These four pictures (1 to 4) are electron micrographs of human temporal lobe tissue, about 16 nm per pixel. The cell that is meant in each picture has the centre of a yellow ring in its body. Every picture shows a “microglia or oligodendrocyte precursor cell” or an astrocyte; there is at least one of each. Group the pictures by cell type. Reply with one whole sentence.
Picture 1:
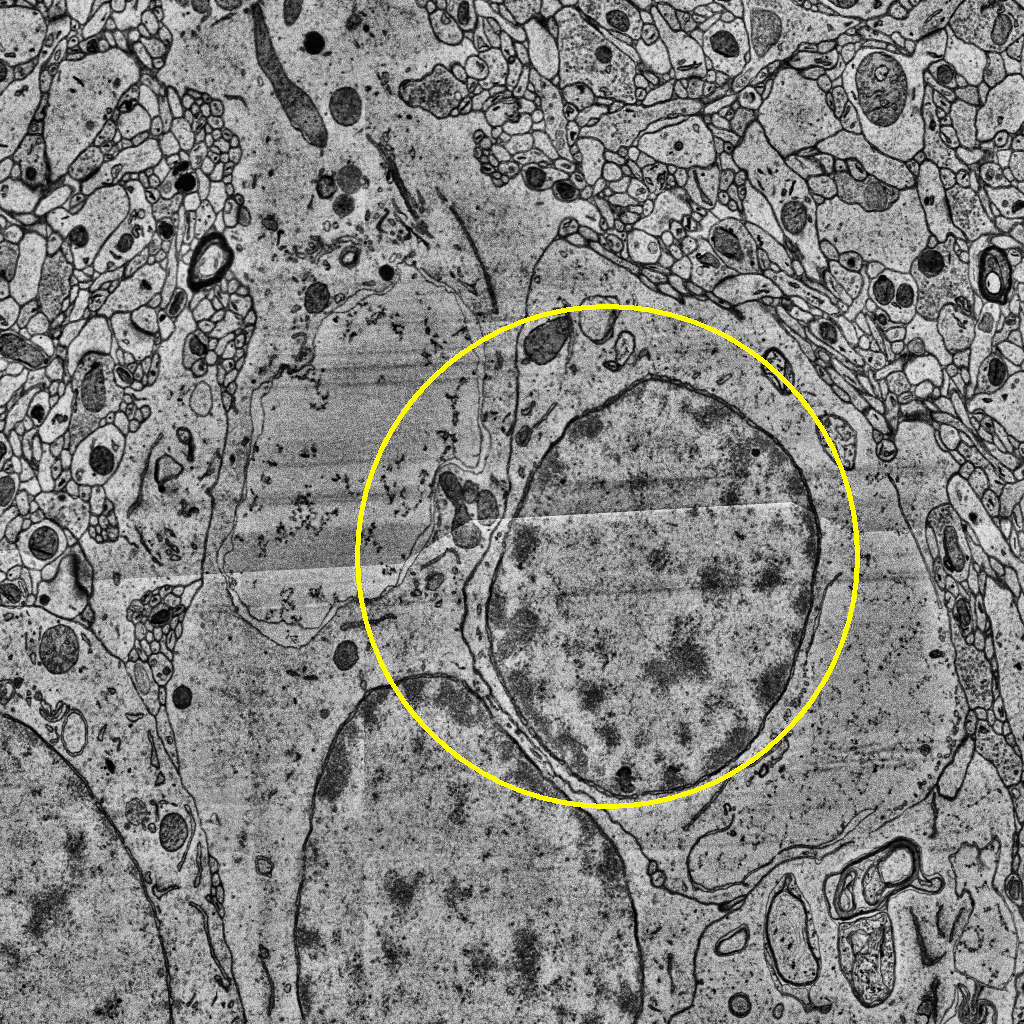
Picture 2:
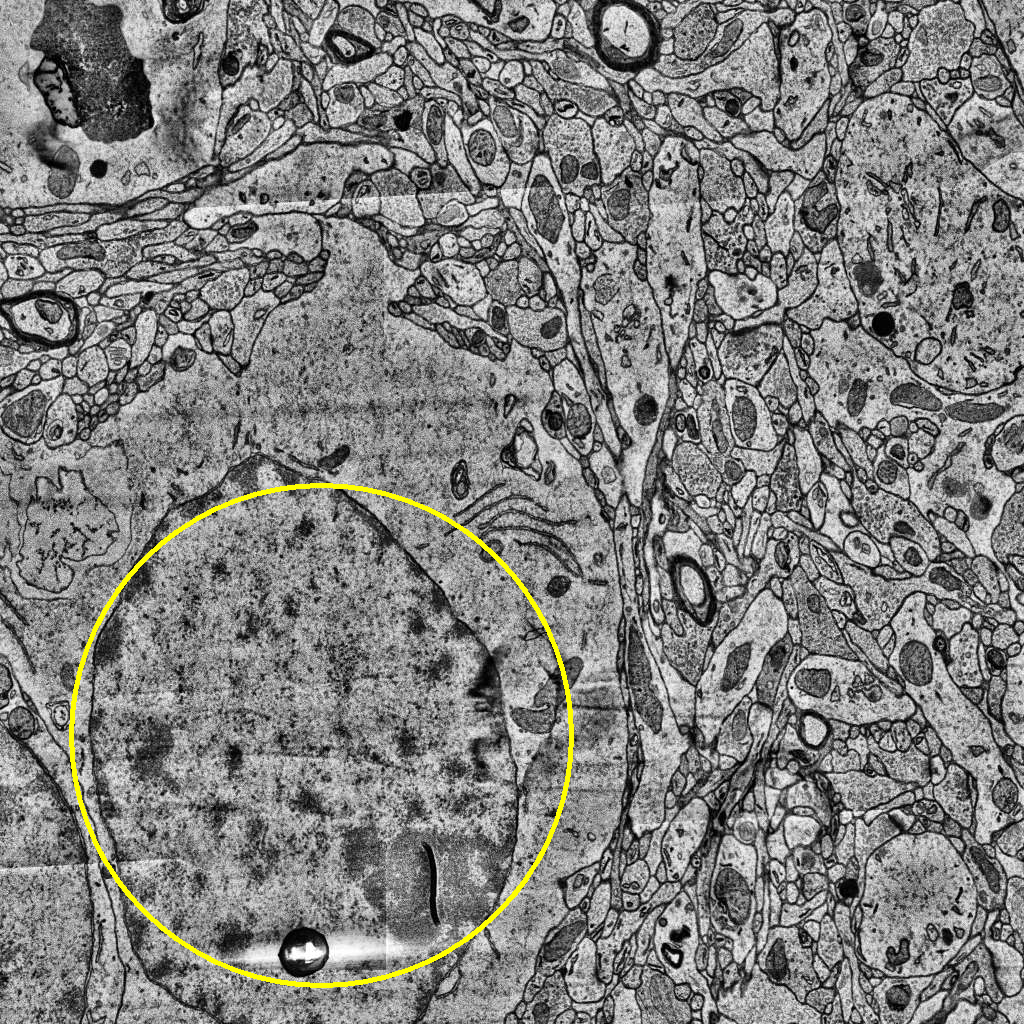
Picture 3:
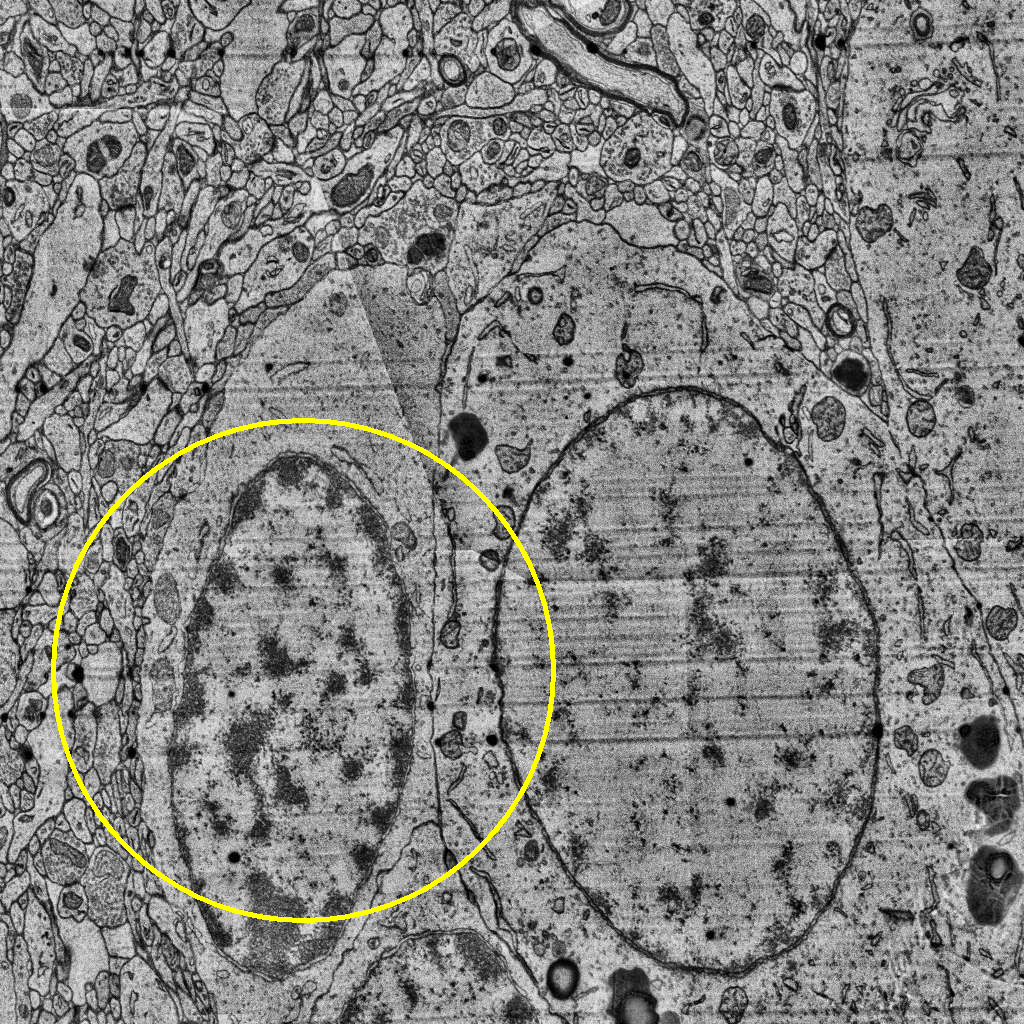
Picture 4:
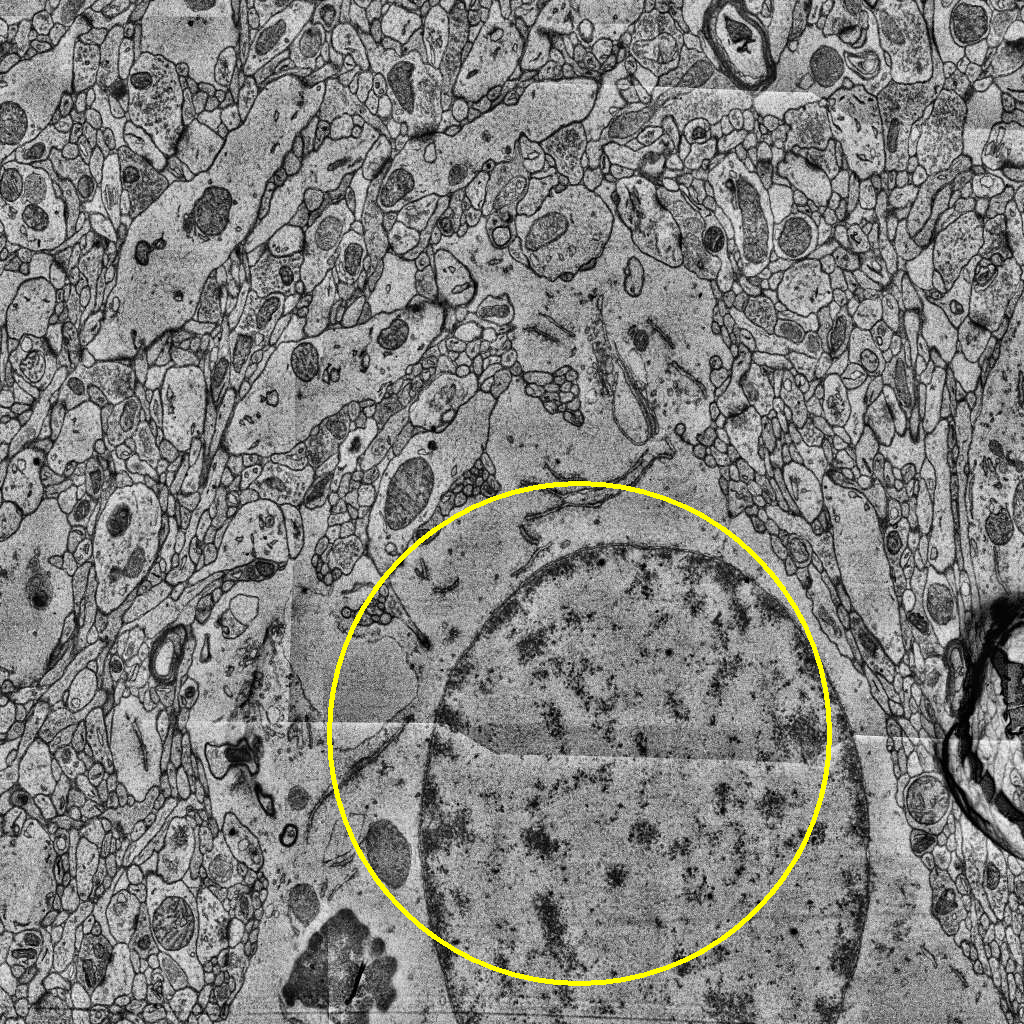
Picture 3 shows a “microglia or oligodendrocyte precursor cell”; pictures 1, 2 and 4 show astrocytes.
